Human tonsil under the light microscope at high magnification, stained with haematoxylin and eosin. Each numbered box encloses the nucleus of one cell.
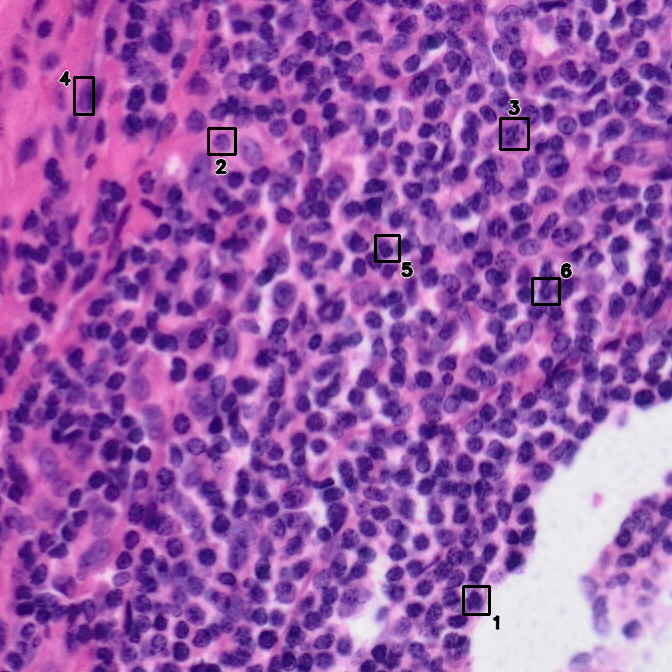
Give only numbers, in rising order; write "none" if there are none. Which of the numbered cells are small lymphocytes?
1, 5, 6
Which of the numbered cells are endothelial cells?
2, 4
